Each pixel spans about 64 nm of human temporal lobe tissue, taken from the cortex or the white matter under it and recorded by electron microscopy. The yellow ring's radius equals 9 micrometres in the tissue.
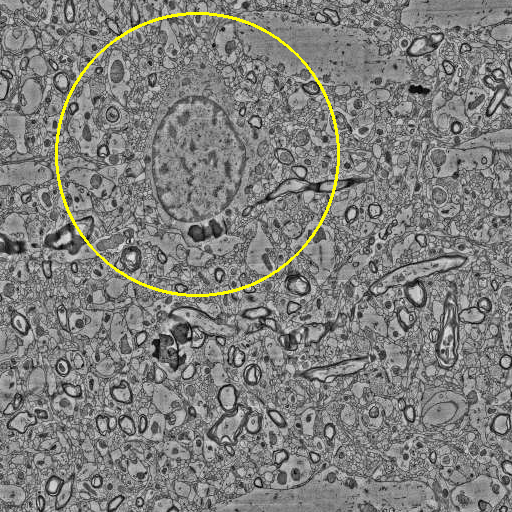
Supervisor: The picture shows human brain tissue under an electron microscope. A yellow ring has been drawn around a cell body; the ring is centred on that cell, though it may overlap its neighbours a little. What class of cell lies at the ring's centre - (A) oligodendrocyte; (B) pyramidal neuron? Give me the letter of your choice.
A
